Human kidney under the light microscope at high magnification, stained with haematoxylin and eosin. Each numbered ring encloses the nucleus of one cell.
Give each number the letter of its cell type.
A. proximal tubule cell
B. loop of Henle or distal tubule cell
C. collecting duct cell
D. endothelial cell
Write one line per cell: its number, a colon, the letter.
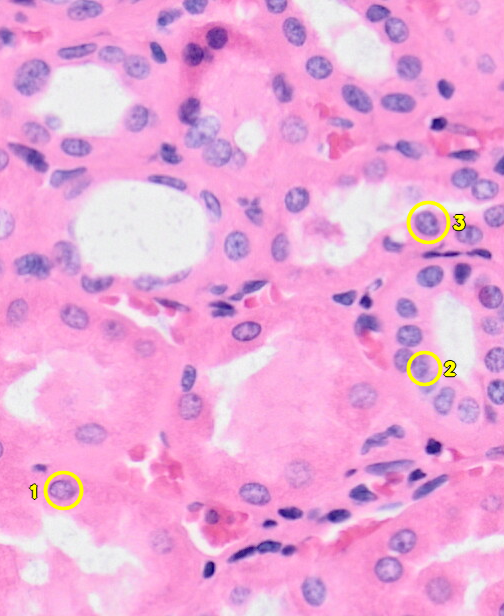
1: A
2: C
3: B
